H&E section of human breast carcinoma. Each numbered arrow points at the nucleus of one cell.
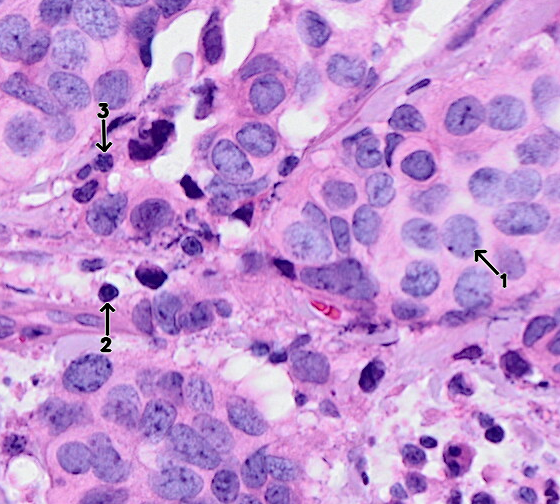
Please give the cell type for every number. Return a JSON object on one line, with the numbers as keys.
{"1": "carcinoma cell", "2": "lymphocyte", "3": "lymphocyte"}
